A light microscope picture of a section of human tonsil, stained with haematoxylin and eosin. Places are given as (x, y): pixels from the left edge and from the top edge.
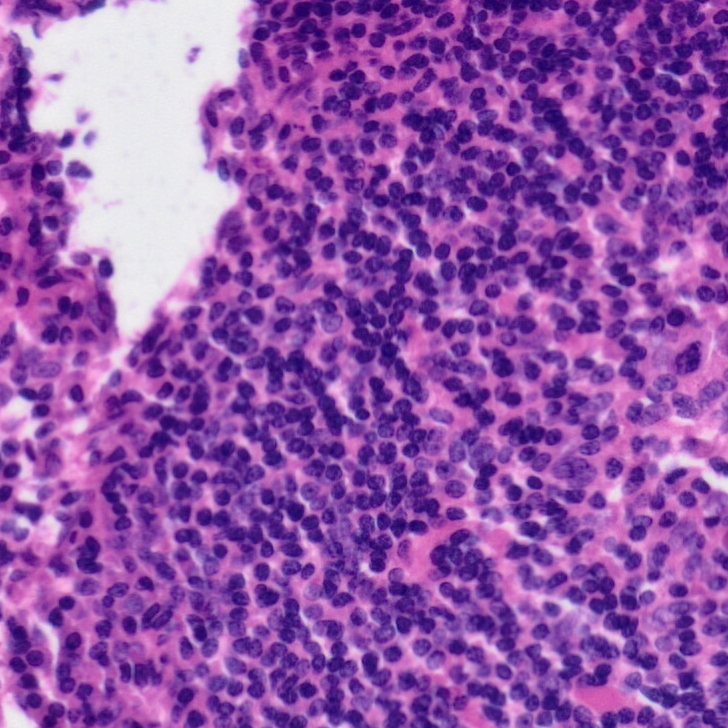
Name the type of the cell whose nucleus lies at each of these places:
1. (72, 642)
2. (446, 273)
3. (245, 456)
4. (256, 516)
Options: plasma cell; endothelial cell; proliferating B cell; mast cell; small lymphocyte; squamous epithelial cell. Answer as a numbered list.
1. plasma cell
2. small lymphocyte
3. small lymphocyte
4. small lymphocyte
